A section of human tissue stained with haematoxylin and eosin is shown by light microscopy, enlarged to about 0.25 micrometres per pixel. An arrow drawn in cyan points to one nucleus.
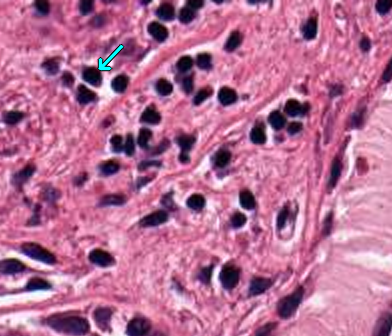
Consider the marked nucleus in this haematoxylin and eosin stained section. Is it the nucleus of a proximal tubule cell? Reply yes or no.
no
